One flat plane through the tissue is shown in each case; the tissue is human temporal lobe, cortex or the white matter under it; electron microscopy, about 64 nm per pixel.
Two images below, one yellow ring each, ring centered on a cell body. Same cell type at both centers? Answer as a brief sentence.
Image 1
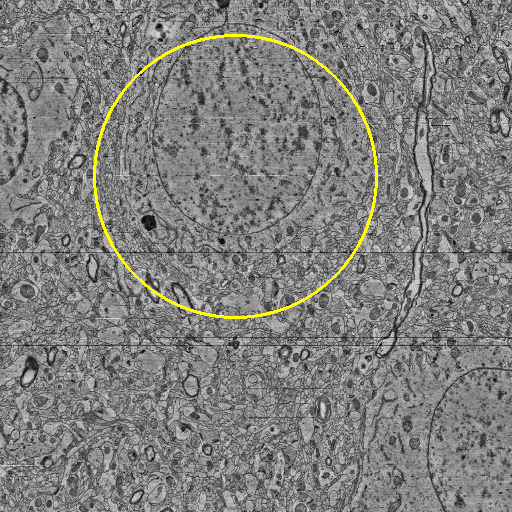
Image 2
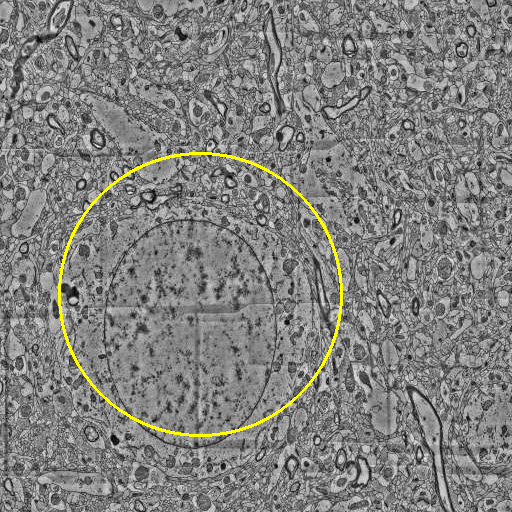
Yes, both cells are of the same type.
